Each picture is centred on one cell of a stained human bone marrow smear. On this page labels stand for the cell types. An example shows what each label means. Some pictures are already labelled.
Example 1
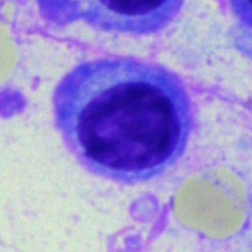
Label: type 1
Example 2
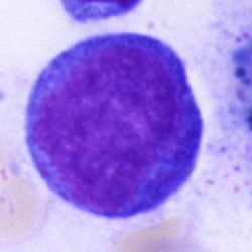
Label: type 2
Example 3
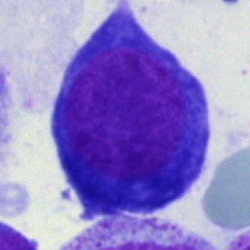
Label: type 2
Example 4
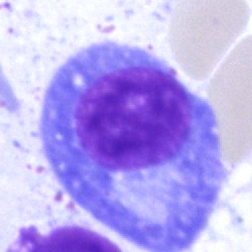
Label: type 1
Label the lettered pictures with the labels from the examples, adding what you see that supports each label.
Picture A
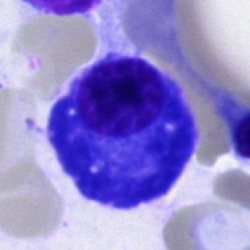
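type 1. Reason: The cytoplasm is abundant and stains deep blue.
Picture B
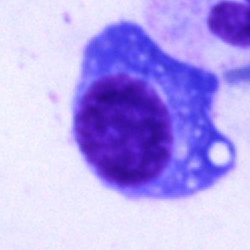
type 1. Reason: The cytoplasm is abundant, extending well beyond the nucleus on the upper and right sides.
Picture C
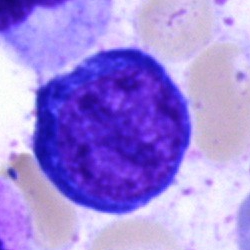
type 2. Reason: The cytoplasm forms only a thin rim around the nucleus.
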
